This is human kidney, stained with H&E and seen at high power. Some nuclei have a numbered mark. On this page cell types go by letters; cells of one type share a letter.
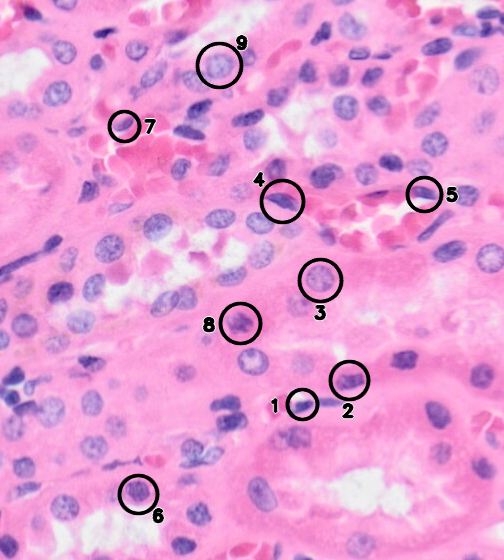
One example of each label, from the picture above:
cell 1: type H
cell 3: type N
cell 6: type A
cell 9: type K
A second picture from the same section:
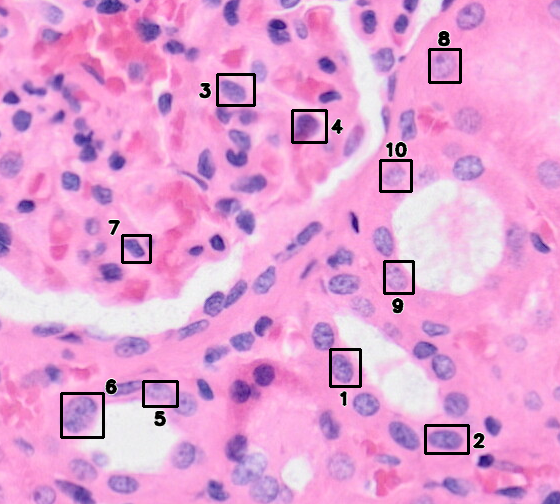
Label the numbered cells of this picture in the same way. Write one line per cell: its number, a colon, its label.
1: type K
2: type K
3: type H
4: type H
5: type K
6: type K
7: type H
8: type N
9: type A
10: type A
